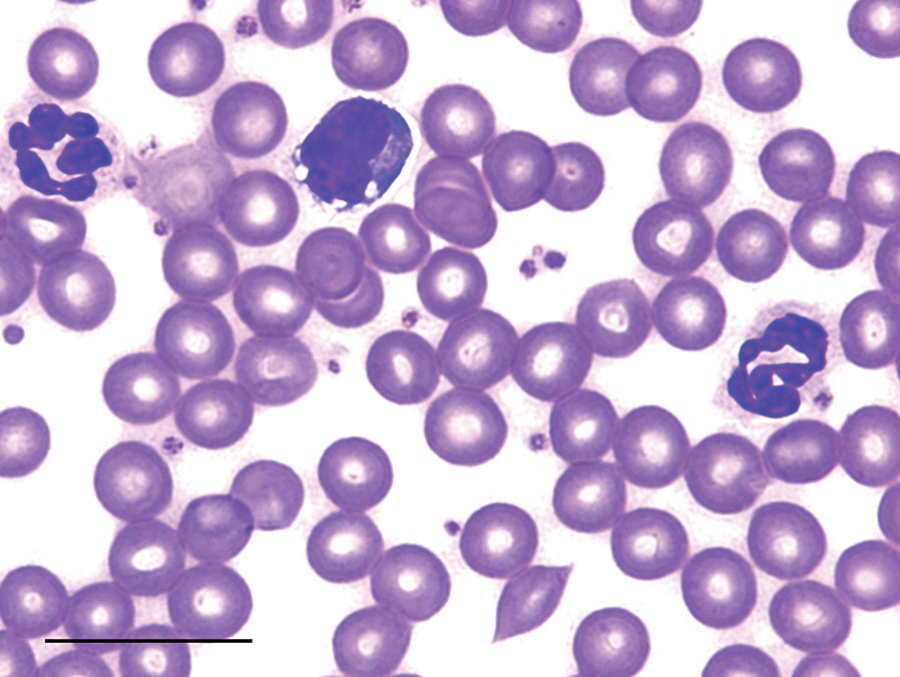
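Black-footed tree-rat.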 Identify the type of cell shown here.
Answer: Neutrophils.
